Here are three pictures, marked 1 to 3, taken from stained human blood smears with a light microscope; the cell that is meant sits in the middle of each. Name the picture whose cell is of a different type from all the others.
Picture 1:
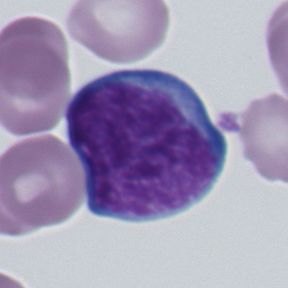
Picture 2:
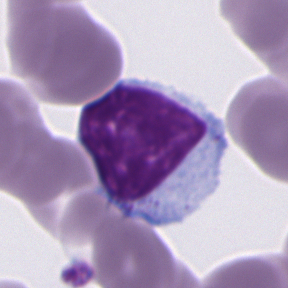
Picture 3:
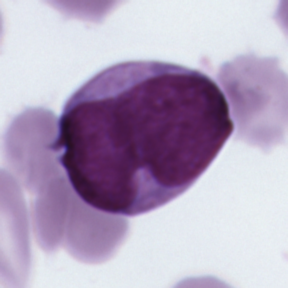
2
